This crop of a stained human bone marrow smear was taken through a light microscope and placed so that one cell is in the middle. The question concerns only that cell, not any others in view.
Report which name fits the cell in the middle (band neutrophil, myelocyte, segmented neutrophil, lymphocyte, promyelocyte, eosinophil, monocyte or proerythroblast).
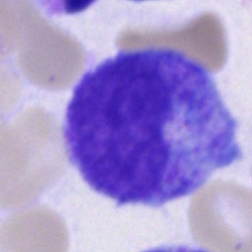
promyelocyte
